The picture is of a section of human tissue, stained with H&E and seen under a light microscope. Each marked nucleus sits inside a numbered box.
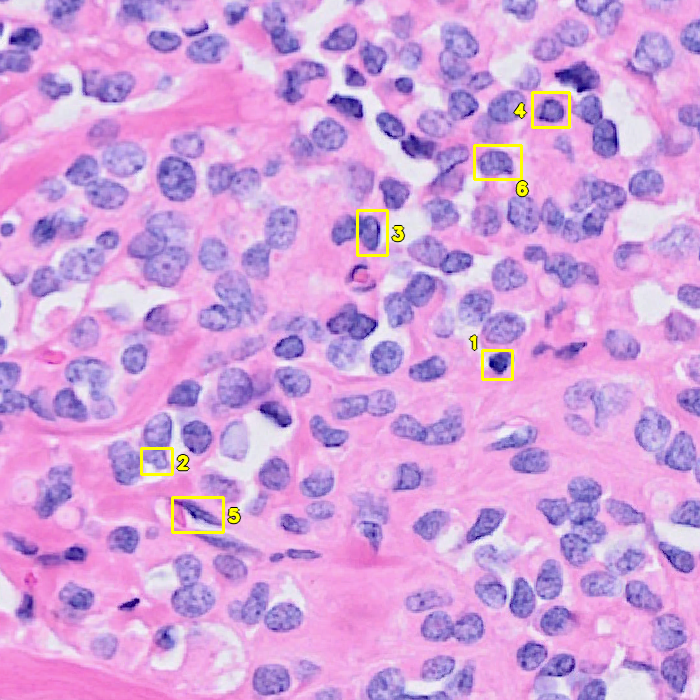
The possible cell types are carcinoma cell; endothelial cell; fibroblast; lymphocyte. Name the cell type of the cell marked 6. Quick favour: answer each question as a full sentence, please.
Cell 6, among those numbered, is a carcinoma cell.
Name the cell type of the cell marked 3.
The cell numbered 3 has been identified as a carcinoma cell.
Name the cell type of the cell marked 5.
In this section, the cell numbered 5 is an endothelial cell.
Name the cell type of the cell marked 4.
Among the marked nuclei, number 4 belongs to a carcinoma cell.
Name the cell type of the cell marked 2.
In the marked set, the cell given number 2 is a carcinoma cell.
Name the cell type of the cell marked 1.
Identified by the number 1, the cell is a lymphocyte.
